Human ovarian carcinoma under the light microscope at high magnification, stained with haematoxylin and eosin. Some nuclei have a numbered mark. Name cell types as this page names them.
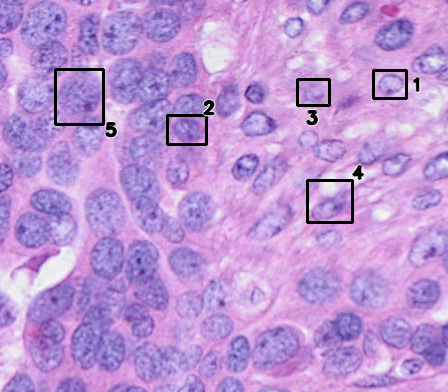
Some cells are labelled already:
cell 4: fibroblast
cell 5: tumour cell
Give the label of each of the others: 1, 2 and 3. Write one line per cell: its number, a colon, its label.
1: fibroblast
2: tumour cell
3: fibroblast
